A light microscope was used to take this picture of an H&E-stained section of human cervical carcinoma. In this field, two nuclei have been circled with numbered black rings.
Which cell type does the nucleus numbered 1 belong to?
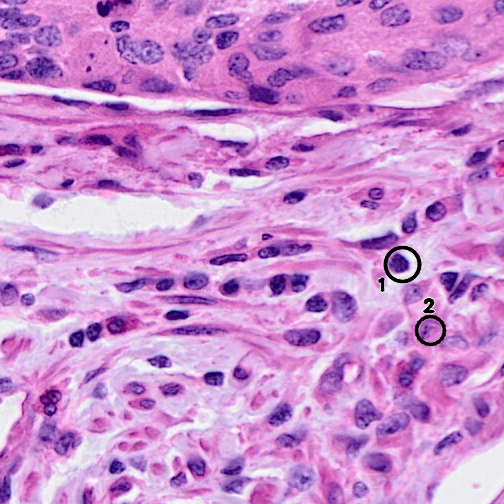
lymphocyte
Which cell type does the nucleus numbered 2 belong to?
endothelial cell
